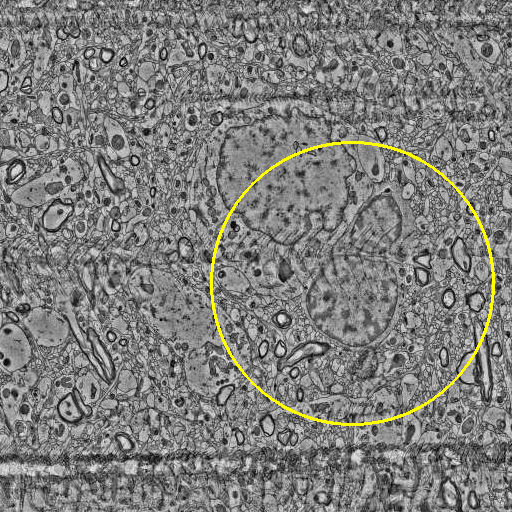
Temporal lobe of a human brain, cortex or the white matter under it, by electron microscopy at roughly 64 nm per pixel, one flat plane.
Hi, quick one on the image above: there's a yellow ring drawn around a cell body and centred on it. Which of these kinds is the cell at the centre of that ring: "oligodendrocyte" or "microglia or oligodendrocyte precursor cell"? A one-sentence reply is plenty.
The cell at the centre of the ring is an oligodendrocyte.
